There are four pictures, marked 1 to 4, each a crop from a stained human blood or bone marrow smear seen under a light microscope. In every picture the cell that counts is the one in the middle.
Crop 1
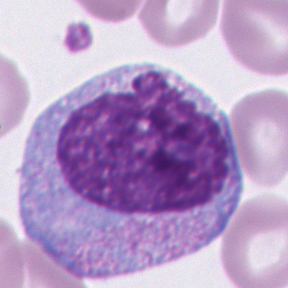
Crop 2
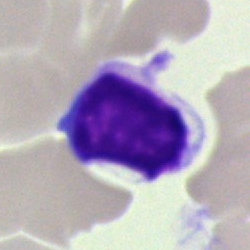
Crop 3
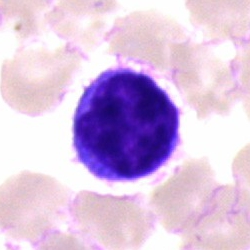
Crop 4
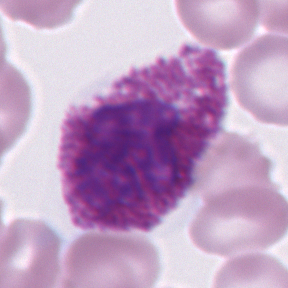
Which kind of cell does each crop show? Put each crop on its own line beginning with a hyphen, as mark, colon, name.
- 1: promyelocyte
- 2: lymphocyte
- 3: lymphocyte
- 4: eosinophil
